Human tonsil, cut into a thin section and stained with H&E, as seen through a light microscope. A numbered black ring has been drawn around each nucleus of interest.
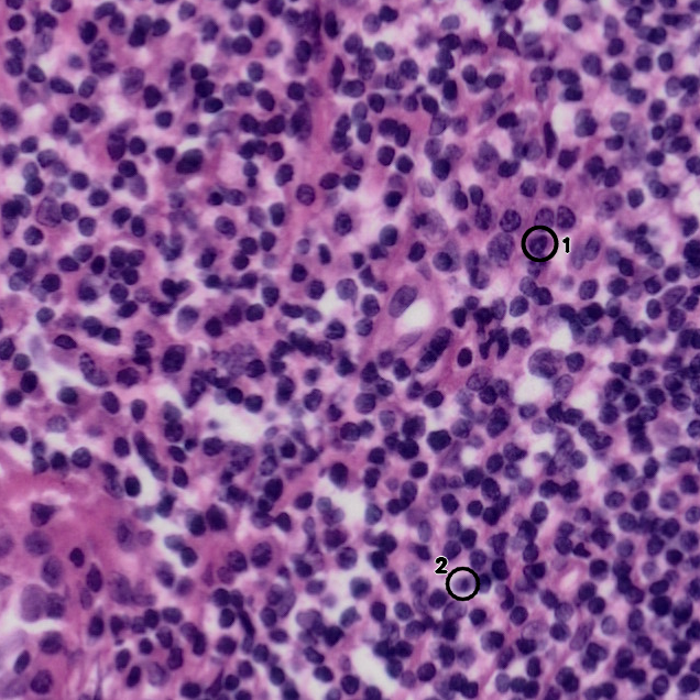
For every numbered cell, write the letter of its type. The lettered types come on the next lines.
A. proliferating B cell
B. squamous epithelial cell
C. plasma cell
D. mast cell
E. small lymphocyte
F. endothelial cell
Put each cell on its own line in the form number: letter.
1: C
2: E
